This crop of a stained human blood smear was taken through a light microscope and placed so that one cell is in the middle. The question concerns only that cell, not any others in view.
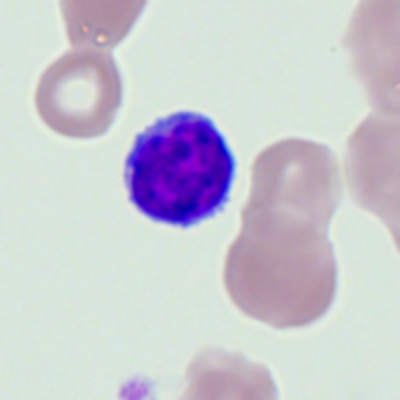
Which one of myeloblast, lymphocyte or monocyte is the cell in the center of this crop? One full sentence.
This crop is built around a lymphocyte at its centre.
